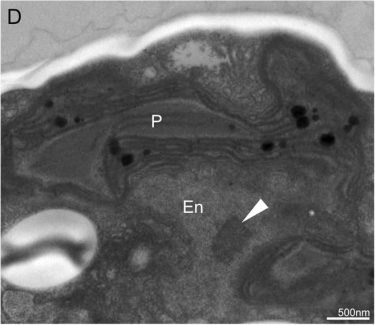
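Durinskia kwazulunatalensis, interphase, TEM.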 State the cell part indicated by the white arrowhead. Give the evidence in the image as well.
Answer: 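Nucleolus. The arrowhead points to a small dense patch within a paler granular area. Stacked lamellar bodies lie just beside that area.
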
